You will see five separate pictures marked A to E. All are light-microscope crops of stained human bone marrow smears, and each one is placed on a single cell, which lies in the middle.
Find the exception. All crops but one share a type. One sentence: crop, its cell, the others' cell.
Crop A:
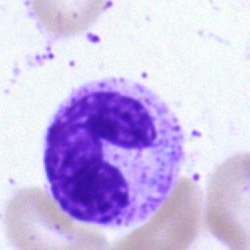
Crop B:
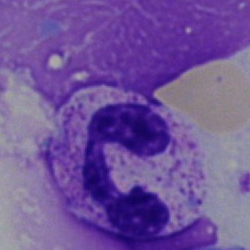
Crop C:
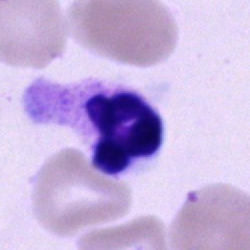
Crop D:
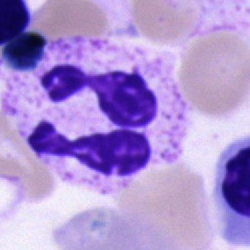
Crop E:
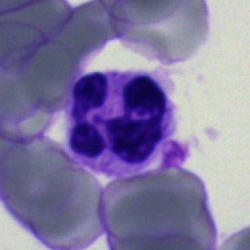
Crop A presents a band neutrophil, while segmented neutrophils are presented by all other crops.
